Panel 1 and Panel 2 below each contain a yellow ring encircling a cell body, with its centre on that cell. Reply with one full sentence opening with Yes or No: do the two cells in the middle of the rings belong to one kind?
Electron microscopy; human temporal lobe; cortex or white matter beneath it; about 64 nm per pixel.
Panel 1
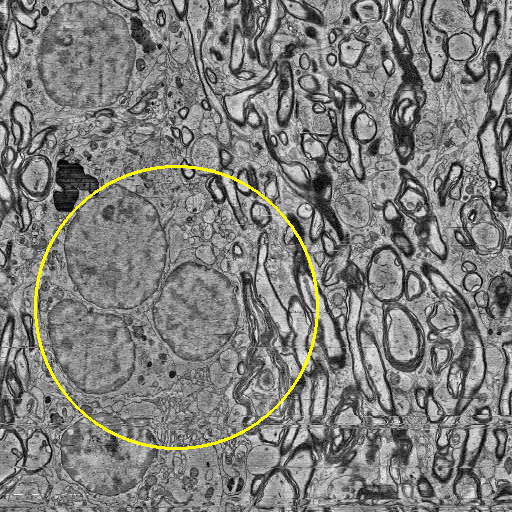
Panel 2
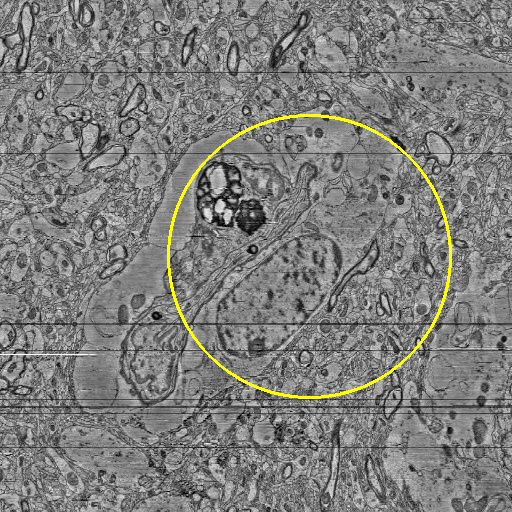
No, the cells at the middle of the Panel 1 ring and the Panel 2 ring are of two kinds.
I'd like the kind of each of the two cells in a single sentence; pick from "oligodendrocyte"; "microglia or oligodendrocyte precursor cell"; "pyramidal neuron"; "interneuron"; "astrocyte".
The first ring marks an oligodendrocyte, and the second ring marks a microglial cell or oligodendrocyte precursor cell.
